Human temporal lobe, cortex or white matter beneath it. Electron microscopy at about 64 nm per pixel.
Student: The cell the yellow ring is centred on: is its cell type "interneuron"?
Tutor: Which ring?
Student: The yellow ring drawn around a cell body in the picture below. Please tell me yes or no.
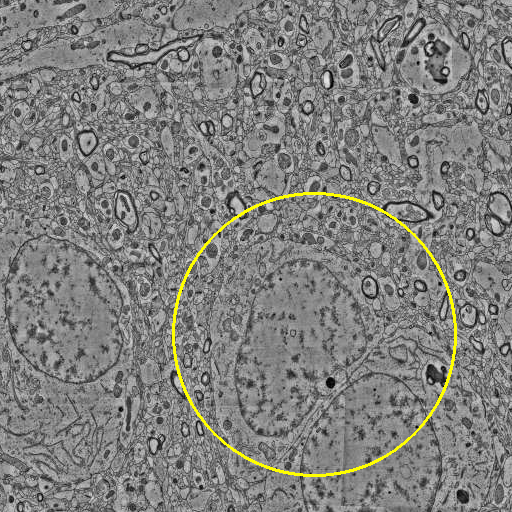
yes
